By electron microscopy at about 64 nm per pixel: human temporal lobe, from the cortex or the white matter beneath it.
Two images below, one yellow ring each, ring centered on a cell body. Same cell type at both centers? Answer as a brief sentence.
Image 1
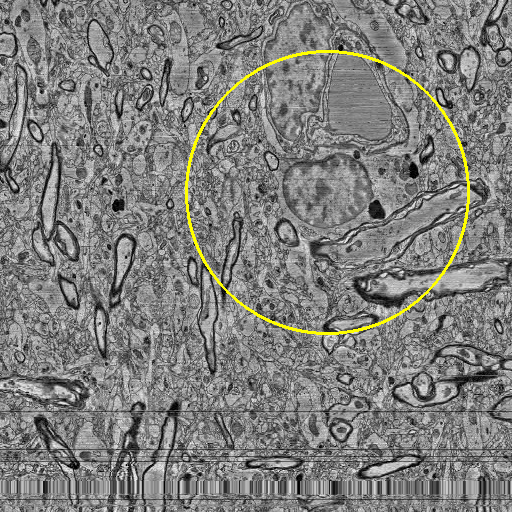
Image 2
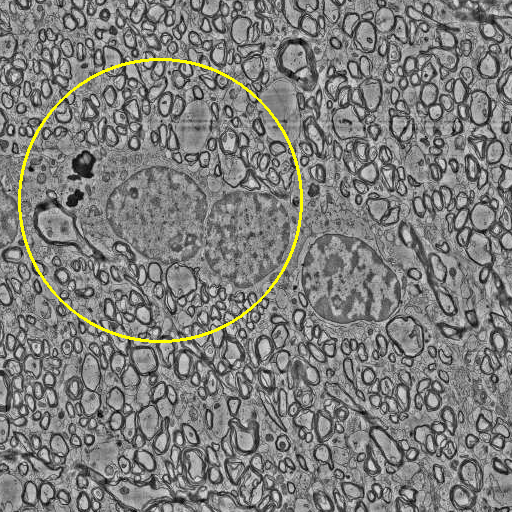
Yes, both cells are of the same type.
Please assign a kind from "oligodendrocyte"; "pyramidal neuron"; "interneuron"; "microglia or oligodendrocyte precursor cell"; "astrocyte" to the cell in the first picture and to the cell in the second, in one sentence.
The ring centre holds an oligodendrocyte in each of the two pictures.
